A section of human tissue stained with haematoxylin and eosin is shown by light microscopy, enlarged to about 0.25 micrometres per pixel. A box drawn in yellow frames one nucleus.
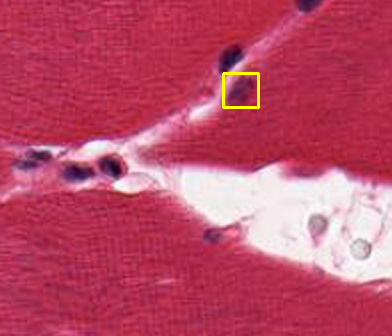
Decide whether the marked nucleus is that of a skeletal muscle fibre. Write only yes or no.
yes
